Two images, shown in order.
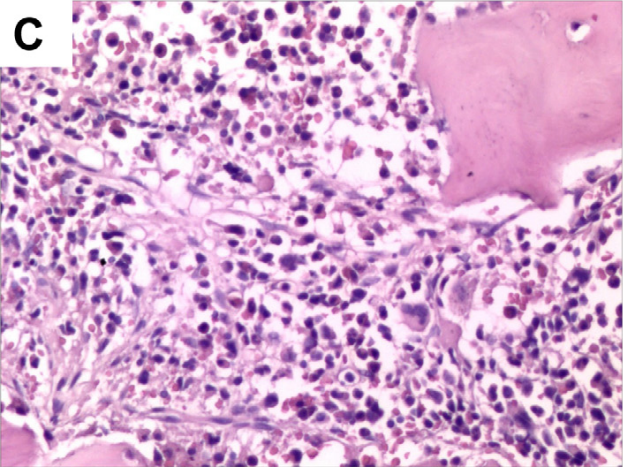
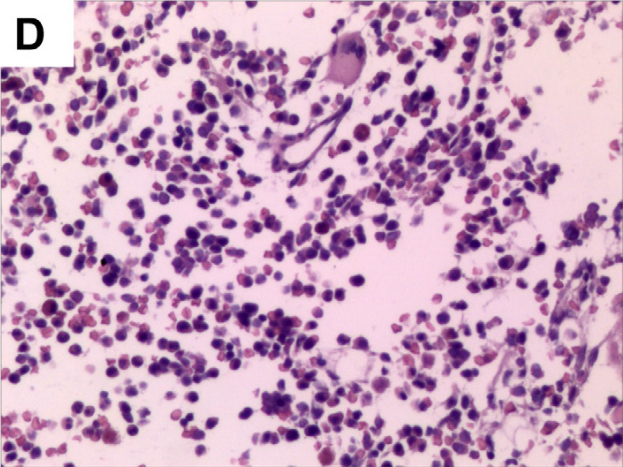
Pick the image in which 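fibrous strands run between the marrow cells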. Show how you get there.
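Second image: loosely scattered marrow cells in clear space without fibrous strands. First image: pale pink fibrous strands with elongated nuclei run among the marrow cells. The answer: the first image.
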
